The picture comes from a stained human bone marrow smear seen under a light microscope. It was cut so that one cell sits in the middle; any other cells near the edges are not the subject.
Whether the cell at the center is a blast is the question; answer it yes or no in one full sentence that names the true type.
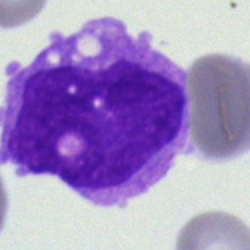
No, calling it a blast is wrong; the middle cell is a monocyte.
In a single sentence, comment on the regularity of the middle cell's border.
The cell margin is rough and uneven, either ragged or drawn into projections.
